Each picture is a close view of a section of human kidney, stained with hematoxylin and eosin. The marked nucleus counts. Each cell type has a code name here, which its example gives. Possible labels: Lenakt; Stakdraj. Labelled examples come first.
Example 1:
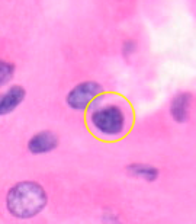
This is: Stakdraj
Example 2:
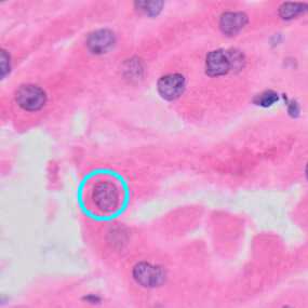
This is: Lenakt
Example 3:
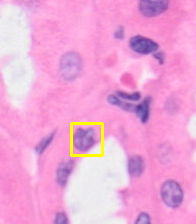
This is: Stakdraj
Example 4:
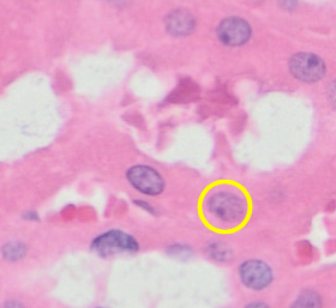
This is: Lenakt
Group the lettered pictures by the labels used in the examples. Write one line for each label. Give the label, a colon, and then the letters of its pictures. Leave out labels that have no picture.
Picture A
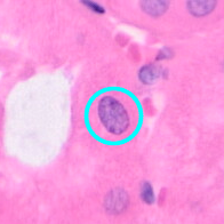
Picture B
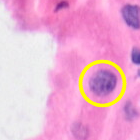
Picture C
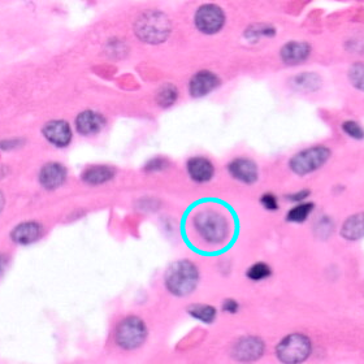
Lenakt: A, B
Stakdraj: C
